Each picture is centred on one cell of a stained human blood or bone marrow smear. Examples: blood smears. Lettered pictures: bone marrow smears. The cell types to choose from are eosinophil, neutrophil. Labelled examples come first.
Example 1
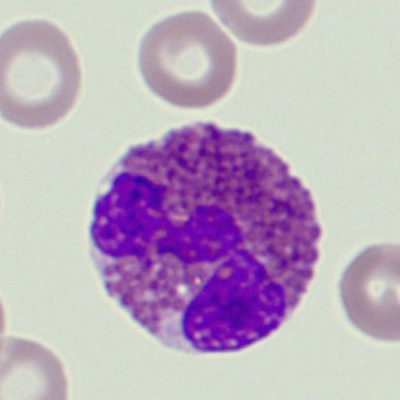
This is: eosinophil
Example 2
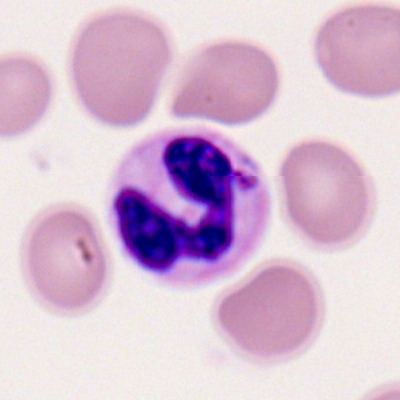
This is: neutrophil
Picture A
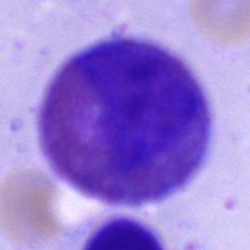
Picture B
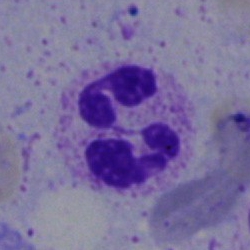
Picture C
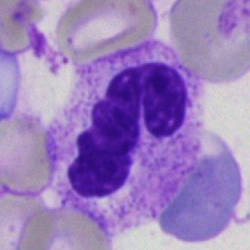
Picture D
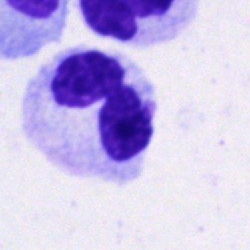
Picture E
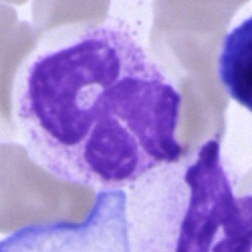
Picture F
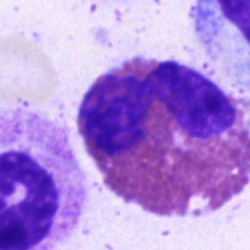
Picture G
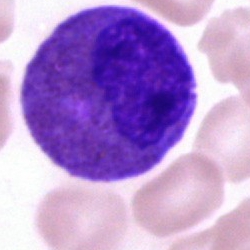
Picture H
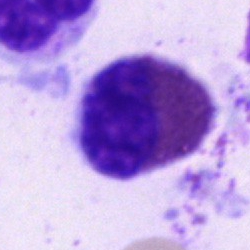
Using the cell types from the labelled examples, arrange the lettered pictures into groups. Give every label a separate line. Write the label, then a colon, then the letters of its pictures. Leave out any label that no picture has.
eosinophil: A, F, G, H
neutrophil: B, C, D, E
